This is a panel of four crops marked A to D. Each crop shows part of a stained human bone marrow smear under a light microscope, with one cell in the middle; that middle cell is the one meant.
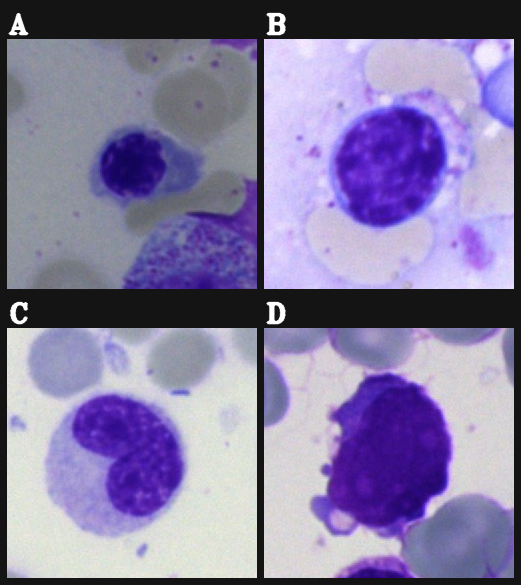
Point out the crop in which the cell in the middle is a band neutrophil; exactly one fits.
C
